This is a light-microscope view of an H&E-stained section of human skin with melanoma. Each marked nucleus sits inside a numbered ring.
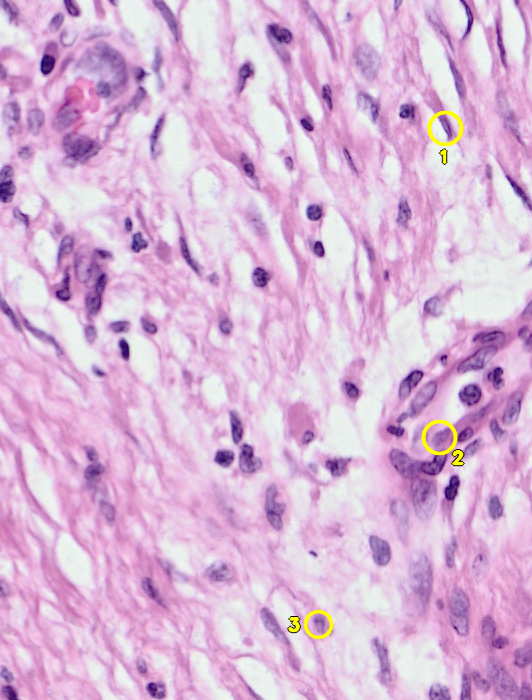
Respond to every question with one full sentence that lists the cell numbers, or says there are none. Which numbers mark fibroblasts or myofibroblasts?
Across all the numbered cells, only number 1 is a fibroblast or myofibroblast.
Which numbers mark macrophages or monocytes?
Only the cell numbered 3 is a macrophage or monocyte; none of the others is.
